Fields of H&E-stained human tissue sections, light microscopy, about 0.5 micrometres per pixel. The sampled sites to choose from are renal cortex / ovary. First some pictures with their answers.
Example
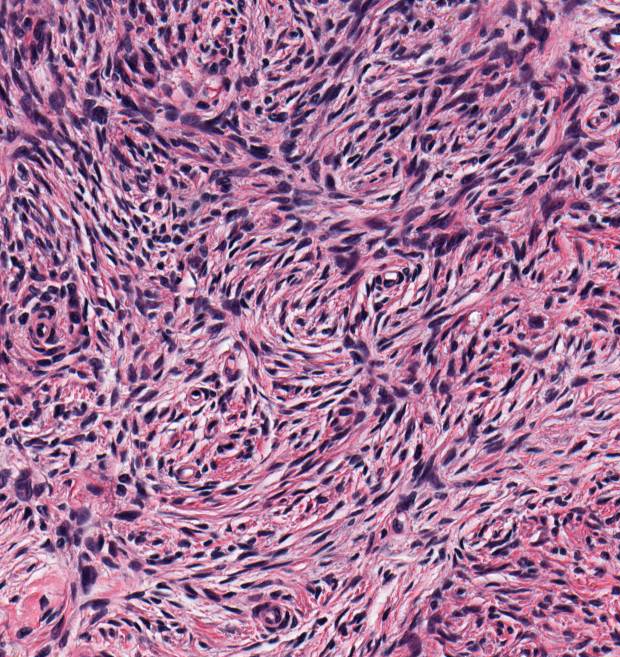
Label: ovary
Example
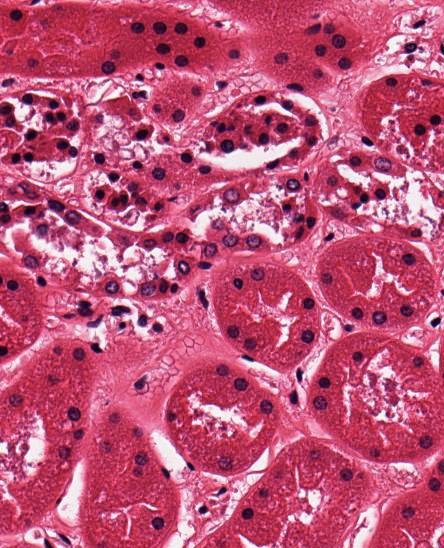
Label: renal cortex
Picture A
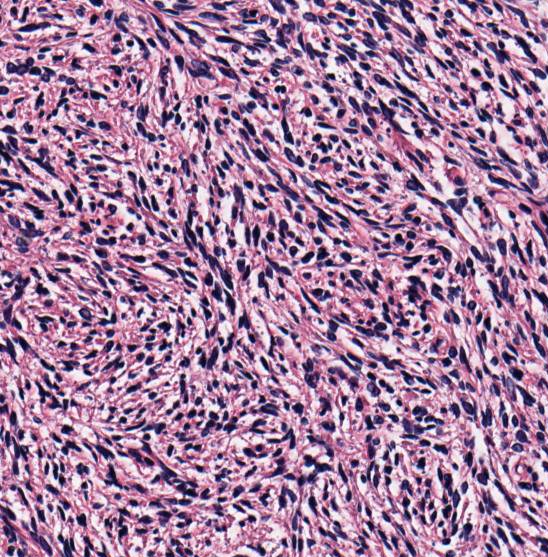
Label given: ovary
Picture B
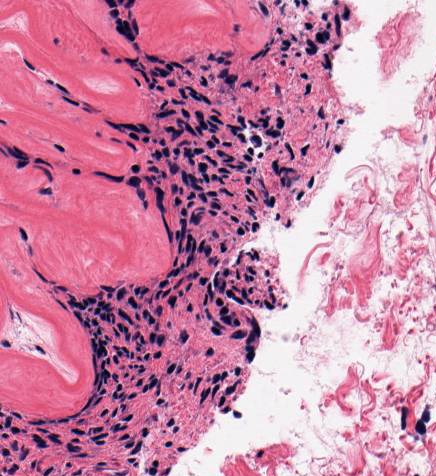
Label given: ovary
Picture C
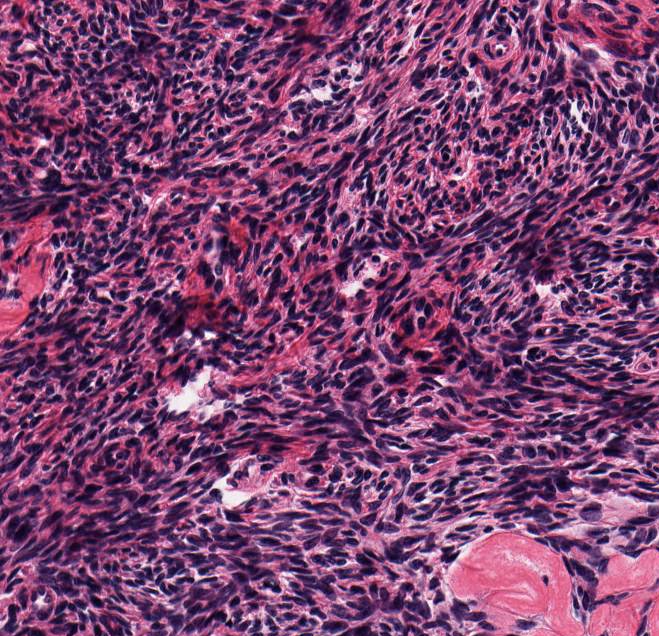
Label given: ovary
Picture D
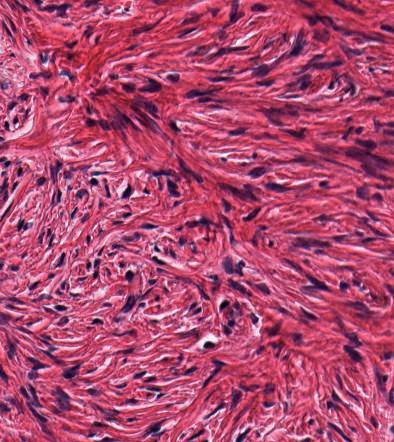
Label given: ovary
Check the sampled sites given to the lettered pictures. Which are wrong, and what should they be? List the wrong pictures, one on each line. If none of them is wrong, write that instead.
All labels are correct.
